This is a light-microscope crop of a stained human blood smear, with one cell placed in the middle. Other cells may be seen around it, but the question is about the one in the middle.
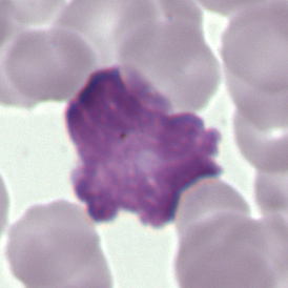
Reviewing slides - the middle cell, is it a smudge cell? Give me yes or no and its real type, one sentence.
Yes, the cell that the crop is centred on is a smudge cell.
